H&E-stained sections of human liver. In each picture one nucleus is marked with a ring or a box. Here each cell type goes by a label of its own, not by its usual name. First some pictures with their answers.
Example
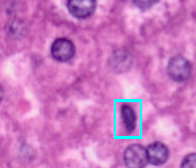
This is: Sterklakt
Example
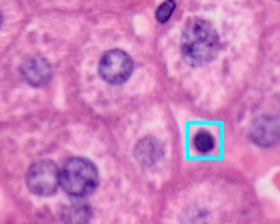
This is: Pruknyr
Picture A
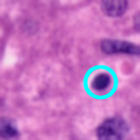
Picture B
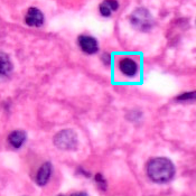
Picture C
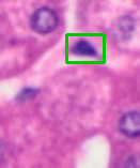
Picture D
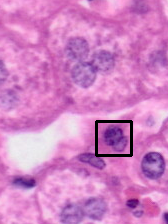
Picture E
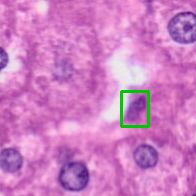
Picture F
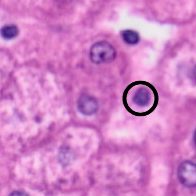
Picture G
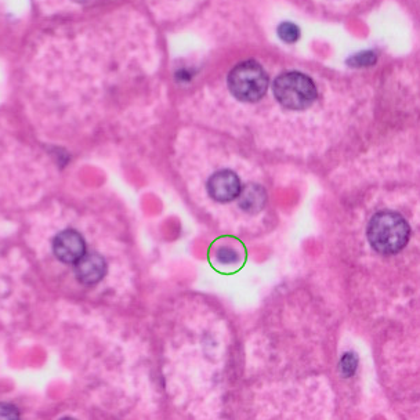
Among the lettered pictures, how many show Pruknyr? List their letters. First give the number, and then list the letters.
5, namely A, B, C, F, G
